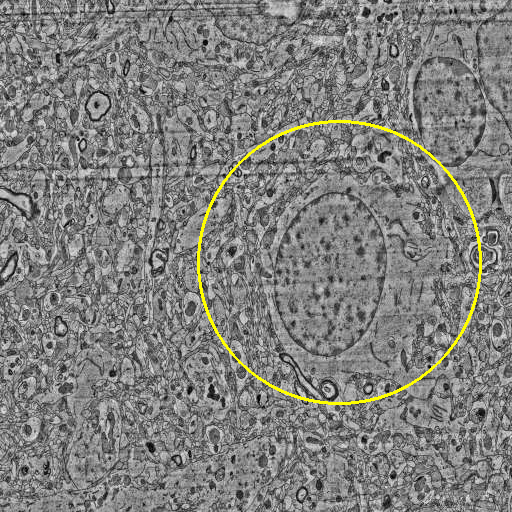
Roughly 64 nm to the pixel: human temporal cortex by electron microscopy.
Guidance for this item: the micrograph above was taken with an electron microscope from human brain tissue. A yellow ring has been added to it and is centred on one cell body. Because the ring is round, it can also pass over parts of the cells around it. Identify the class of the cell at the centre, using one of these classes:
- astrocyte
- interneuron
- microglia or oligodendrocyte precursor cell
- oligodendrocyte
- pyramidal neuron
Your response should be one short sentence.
The ring surrounds the body of an astrocyte.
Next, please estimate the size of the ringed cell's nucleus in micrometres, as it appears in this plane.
Roughly 11 by 7 micrometers, clearly longer than it is wide in this plane.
